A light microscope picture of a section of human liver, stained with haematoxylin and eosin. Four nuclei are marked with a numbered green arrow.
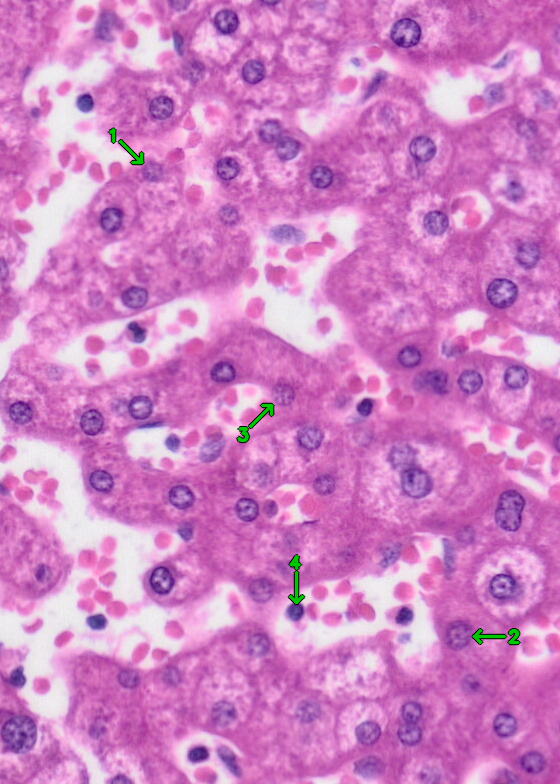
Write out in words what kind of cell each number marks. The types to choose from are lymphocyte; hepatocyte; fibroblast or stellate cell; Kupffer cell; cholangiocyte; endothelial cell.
Cell 1 is a hepatocyte, cell 2 is a hepatocyte, cell 3 is a hepatocyte and cell 4 is a lymphocyte.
